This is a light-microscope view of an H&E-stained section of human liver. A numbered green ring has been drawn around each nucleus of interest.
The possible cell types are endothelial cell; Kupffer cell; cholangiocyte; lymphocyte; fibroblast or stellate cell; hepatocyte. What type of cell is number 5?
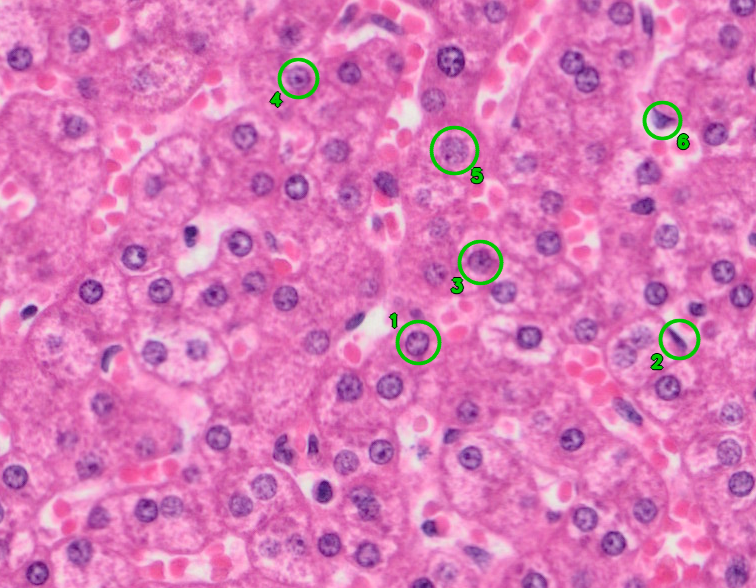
hepatocyte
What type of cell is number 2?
endothelial cell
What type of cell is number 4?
hepatocyte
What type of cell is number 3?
hepatocyte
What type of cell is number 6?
endothelial cell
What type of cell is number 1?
hepatocyte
